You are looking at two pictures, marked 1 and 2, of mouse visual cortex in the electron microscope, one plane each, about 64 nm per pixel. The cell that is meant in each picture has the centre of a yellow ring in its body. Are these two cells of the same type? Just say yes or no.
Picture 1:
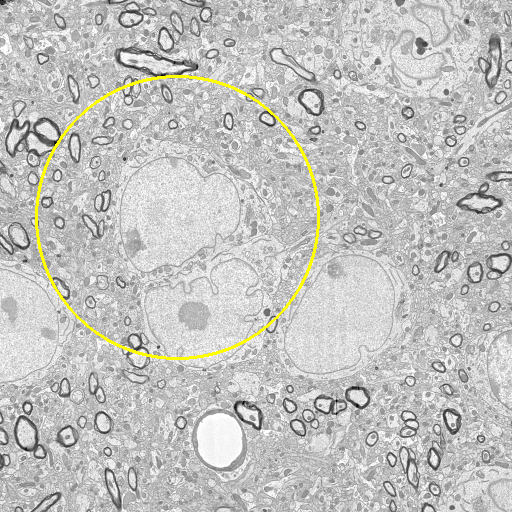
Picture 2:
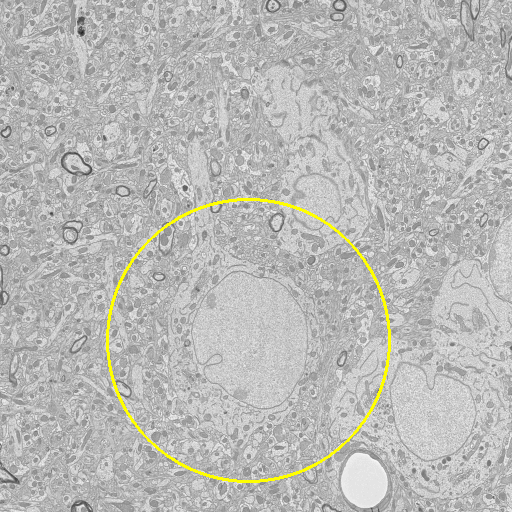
yes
